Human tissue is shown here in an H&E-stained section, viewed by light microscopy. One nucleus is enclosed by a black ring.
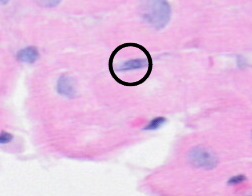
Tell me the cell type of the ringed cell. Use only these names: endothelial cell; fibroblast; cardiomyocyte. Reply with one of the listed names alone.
endothelial cell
